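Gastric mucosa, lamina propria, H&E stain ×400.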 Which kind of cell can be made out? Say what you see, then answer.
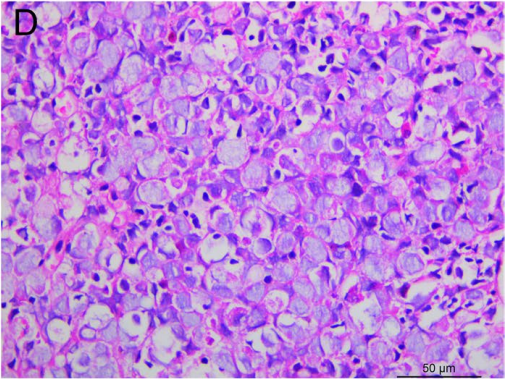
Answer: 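Ring-like cells. Cells have abundant pale, finely bubbly bluish-grey cytoplasm. Nuclei are dark and pushed to one side of the cell. The cells lie packed side by side.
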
